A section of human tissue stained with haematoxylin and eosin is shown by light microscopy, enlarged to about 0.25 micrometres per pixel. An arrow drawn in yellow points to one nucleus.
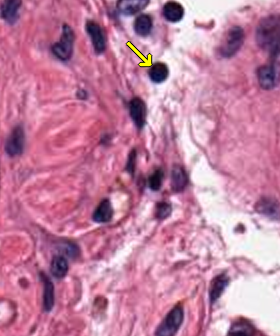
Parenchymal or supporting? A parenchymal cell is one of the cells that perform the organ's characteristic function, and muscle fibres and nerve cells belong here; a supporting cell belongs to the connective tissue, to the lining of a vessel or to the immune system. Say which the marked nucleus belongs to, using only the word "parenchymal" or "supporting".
supporting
